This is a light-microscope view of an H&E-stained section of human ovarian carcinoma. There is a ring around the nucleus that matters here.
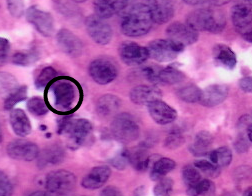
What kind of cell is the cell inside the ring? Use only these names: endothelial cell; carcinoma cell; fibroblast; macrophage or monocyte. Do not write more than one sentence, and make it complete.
Placed in its cell category, the cell inside the ring is a carcinoma cell.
